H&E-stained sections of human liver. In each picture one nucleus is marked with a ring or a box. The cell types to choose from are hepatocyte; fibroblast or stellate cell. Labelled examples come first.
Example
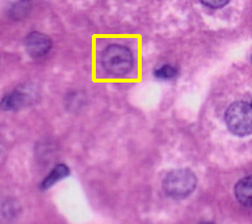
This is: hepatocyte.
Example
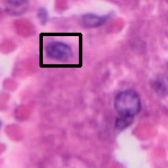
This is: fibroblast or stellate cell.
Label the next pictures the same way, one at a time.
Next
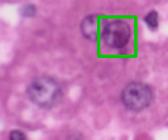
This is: hepatocyte.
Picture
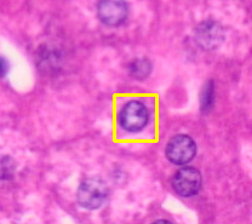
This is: hepatocyte.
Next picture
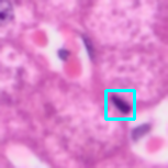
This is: fibroblast or stellate cell.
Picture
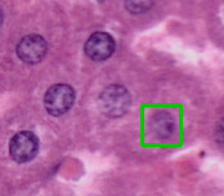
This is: hepatocyte.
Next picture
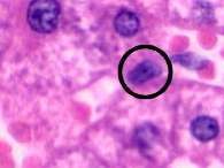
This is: fibroblast or stellate cell.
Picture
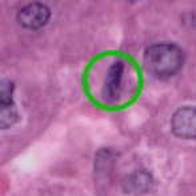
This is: fibroblast or stellate cell.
